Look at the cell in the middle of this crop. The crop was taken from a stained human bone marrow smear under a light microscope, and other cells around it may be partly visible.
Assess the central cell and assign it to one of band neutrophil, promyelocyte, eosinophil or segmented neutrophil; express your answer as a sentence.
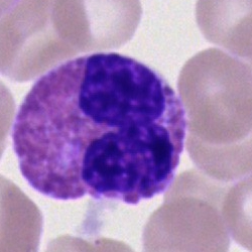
The target cell in the middle of the crop is an eosinophil.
